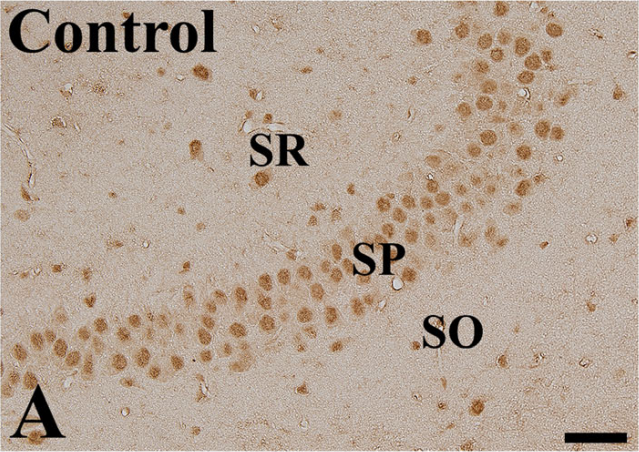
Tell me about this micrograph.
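Hippocampal tissue with a curving band of pyramidal neurons, several cells thick, running from the lower left towards the upper right. On either side of the band lie paler, finely granular neuropil layers containing only scattered smaller cells, some of them also with brown nuclei. Small blood vessel profiles appear as pale slits or rings in the neuropil. The background is light beige with little staining outside the nuclei.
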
